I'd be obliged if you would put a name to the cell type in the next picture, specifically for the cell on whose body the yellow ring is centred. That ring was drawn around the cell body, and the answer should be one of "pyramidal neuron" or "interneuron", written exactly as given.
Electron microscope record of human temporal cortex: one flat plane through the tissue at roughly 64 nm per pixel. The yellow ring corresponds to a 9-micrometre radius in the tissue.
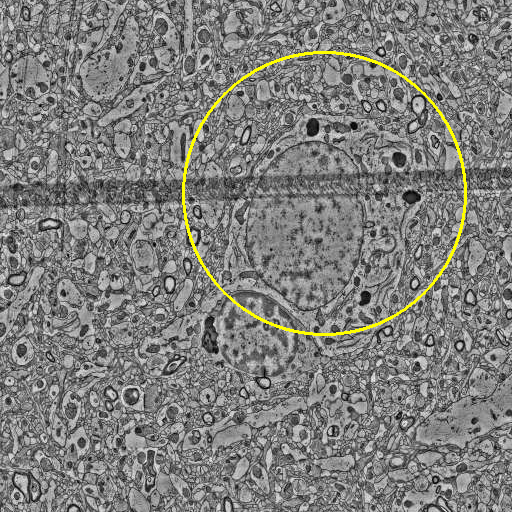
interneuron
